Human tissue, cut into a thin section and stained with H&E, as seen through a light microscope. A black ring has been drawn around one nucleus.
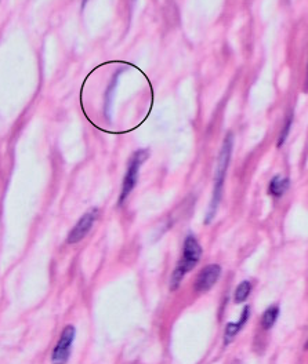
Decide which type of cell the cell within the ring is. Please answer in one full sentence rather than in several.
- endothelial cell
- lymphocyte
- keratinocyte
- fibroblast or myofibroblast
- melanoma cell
Histopathologically, the cell within the ring is a fibroblast or myofibroblast.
